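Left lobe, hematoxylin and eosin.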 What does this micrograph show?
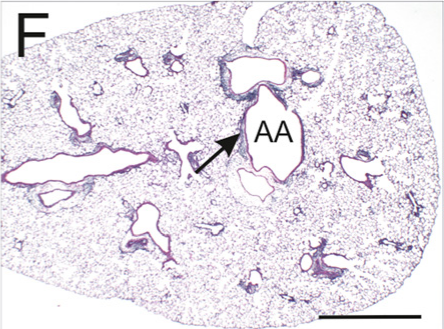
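This low-power section of lung shows a fine, pale spongy meshwork of alveolar air spaces interrupted by airways and blood vessels of various sizes. A large central airway with a thin pink wall lies at the middle, and beside it and around many smaller airways and vessels run dense dark purple bands of closely packed nuclei. These cellular cuffs hug the outer walls of the tubes, while the surrounding alveolar tissue stays largely open and lightly stained.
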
